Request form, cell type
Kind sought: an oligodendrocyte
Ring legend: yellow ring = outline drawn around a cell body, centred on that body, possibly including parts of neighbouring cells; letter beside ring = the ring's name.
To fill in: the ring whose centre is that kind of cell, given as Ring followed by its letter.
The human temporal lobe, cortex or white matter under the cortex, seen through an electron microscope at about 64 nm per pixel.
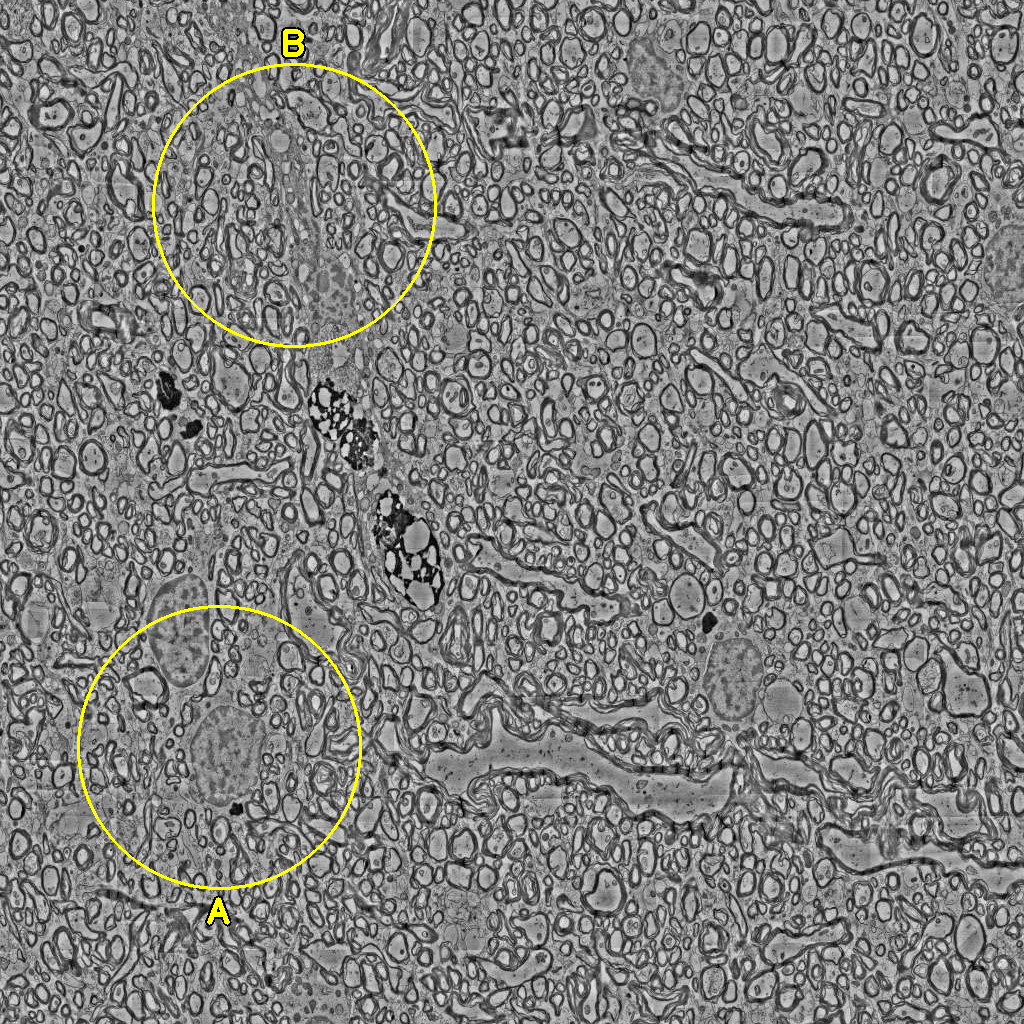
Ring A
